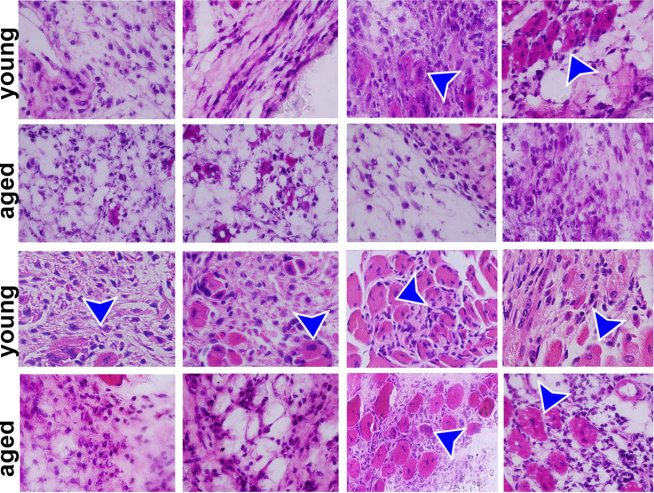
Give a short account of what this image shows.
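This is injured skeletal muscle seen in cross-section, where many small purple nuclei lie scattered through a pale, loose pink tissue. In several frames, rounded pink muscle fibres of varying size appear among these cells, and some of them carry a nucleus in their middle rather than at the edge. Elsewhere the frames hold only the loose, cell-rich tissue with no intact fibres.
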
